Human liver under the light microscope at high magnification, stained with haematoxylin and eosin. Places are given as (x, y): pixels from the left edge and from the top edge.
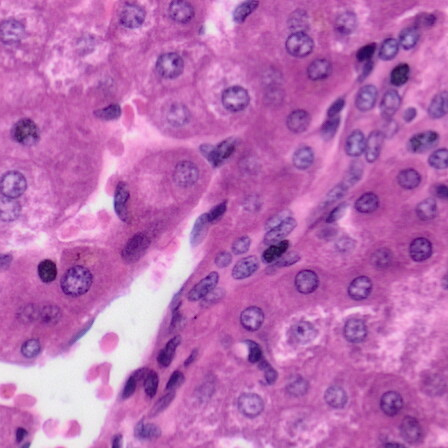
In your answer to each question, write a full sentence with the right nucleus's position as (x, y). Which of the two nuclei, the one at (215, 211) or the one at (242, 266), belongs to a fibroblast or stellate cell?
It is the nucleus at (215, 211) that forms part of a fibroblast or stellate cell.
